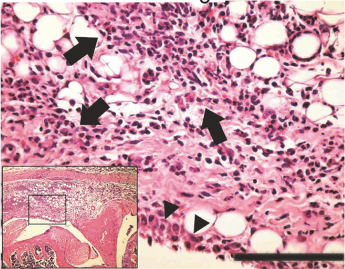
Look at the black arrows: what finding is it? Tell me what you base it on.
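Inflammatory infiltrate. The arrows point at areas packed with small dark nuclei. The packed cells lie among large clear round vacuoles.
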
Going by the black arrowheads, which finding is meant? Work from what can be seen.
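The arrowheads point at a cell-rich layer of crowded nuclei. The answer: synovia hyperplasia.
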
